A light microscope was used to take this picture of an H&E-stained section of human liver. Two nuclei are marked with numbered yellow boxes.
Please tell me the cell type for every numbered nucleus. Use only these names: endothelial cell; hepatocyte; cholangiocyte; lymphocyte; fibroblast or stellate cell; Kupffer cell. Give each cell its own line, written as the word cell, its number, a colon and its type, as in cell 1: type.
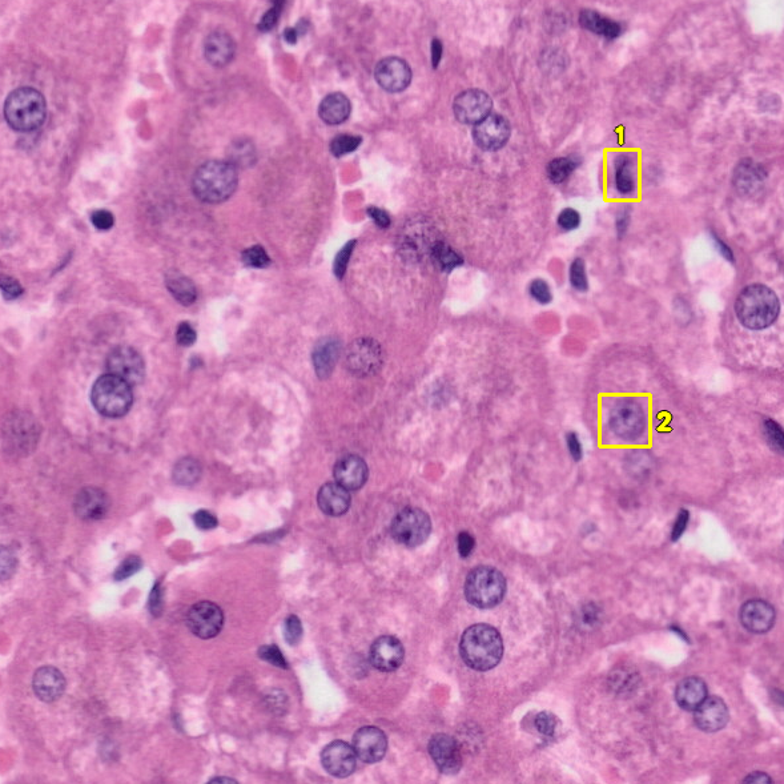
cell 1: fibroblast or stellate cell
cell 2: hepatocyte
